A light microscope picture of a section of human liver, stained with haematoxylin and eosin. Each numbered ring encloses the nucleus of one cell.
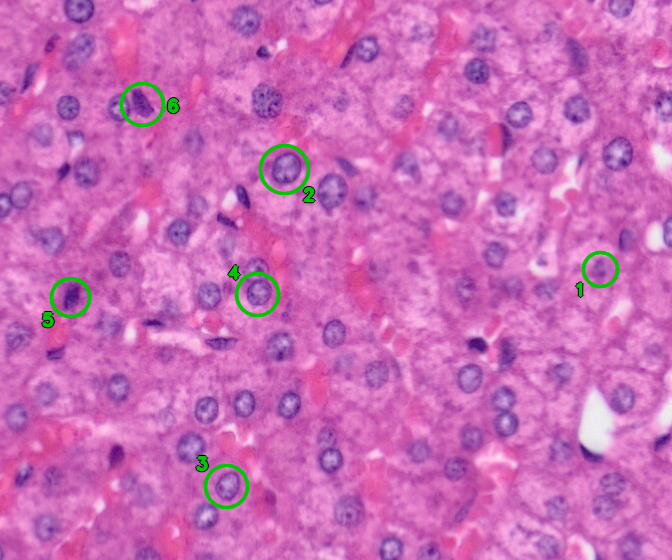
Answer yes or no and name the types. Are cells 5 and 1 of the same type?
No, cell 5 is a fibroblast or stellate cell; as for cell 1, that one is a hepatocyte.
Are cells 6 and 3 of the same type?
No, rather, cell 6 is a fibroblast or stellate cell and cell 3 is a hepatocyte.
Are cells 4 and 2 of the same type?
Yes, cells 4 and 2 are both termed hepatocytes.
